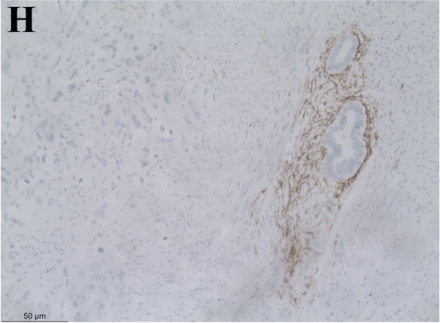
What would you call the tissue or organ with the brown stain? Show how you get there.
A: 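Endometrial stroma. Brown-stained spindle cells form a cuff around two unstained glands. Surrounding tissue is unstained.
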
